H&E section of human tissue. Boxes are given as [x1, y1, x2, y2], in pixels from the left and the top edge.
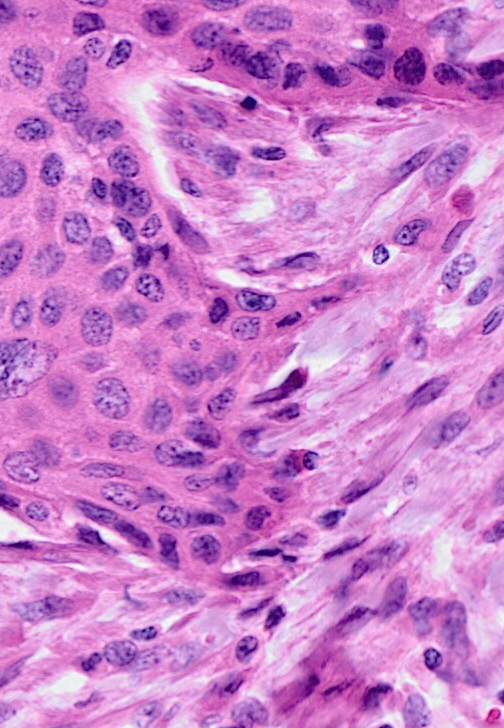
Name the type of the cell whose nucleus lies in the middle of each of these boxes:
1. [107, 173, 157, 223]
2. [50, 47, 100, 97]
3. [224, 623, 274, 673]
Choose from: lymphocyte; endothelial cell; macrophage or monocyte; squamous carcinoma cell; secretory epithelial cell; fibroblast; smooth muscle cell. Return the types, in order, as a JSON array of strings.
["squamous carcinoma cell", "squamous carcinoma cell", "macrophage or monocyte"]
